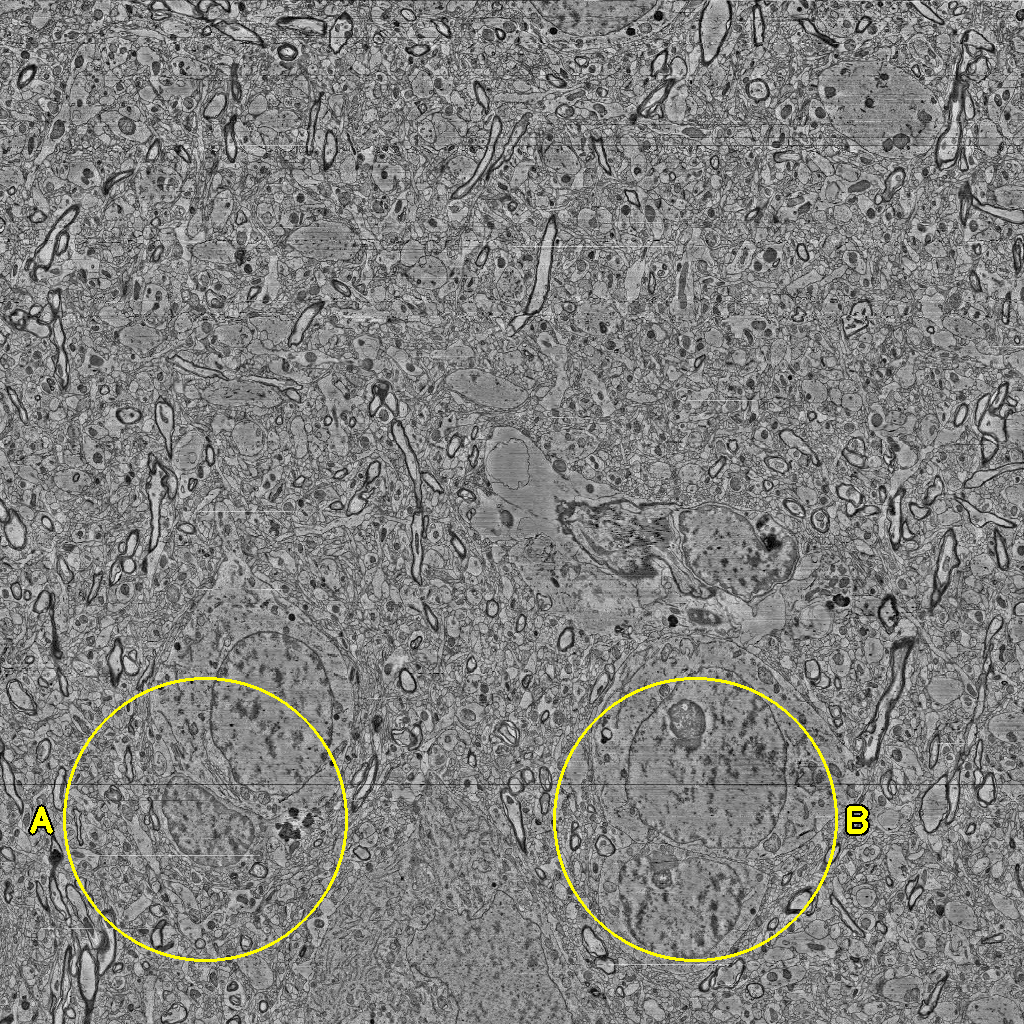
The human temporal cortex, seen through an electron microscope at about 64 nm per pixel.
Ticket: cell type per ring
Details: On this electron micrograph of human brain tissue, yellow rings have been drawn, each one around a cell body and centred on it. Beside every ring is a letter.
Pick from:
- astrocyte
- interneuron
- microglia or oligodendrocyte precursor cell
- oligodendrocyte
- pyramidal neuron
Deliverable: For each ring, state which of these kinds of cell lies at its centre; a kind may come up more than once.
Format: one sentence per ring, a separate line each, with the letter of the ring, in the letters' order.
The cell body ringed as A belongs to an oligodendrocyte.
The cell body ringed as B belongs to a pyramidal neuron.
